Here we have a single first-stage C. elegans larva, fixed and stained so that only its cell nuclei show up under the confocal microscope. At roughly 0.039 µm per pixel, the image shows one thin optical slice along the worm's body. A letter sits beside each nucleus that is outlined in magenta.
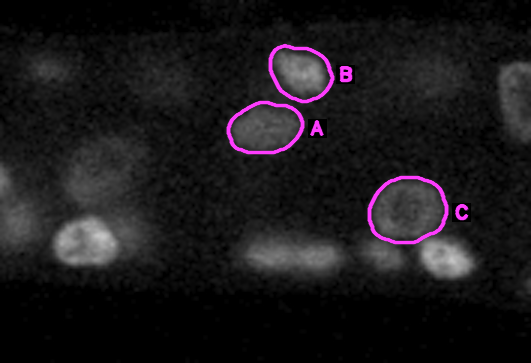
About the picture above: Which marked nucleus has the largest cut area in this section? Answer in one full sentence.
C has the largest area in this section.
